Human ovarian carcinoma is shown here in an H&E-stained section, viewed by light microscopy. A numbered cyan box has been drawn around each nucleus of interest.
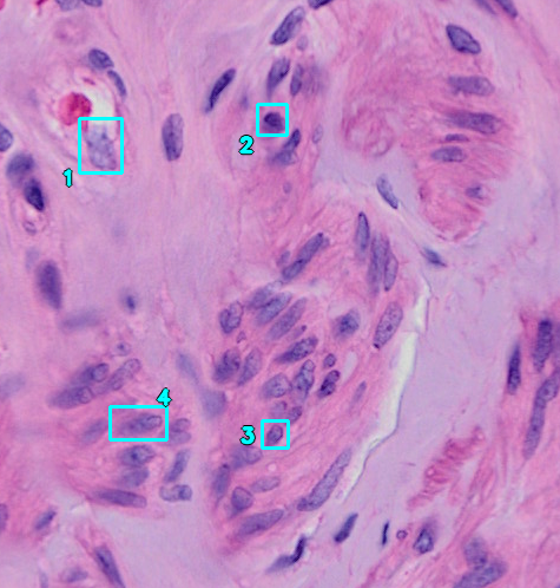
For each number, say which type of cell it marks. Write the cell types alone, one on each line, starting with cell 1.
endothelial cell
smooth muscle cell
smooth muscle cell
smooth muscle cell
